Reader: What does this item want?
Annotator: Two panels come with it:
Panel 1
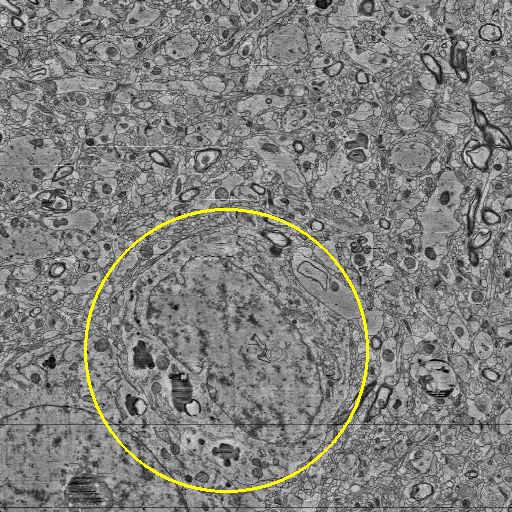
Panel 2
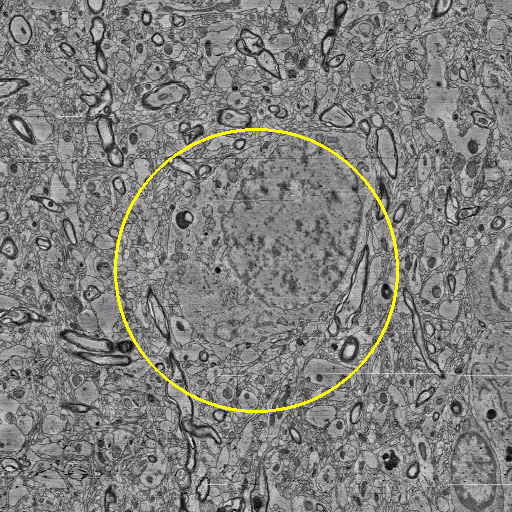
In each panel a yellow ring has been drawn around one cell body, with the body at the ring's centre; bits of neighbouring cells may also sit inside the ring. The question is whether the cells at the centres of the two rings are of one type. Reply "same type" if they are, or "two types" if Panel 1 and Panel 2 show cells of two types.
same type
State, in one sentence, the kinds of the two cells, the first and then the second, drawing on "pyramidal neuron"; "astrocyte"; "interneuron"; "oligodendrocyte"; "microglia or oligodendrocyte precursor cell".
The first and the second cell are each an interneuron.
